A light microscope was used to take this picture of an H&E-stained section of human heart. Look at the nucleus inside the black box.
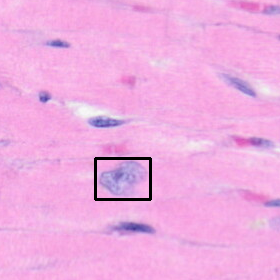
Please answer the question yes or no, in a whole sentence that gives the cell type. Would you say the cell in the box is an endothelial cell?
No, the cell in the box counts as a cardiomyocyte, not an endothelial cell.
